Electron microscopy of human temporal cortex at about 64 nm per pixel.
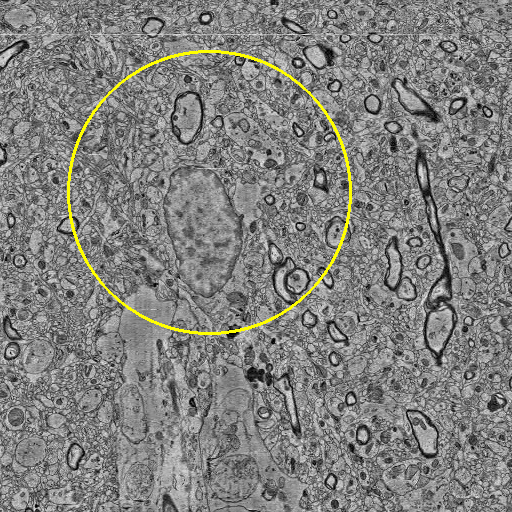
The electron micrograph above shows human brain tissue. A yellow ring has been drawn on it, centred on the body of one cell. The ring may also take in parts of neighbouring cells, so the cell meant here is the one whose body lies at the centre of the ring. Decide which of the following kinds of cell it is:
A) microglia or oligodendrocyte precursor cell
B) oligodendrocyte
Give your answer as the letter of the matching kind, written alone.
B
